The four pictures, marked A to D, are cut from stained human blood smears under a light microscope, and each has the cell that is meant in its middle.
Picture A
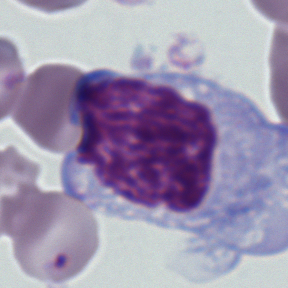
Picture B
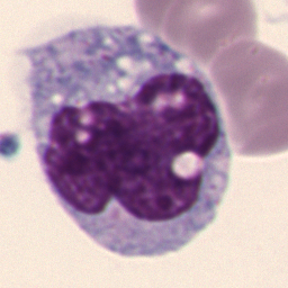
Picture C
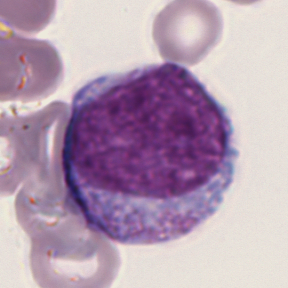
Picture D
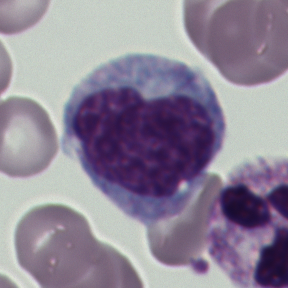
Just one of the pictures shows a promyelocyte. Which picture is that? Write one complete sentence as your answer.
Picture C is the one that shows the promyelocyte.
